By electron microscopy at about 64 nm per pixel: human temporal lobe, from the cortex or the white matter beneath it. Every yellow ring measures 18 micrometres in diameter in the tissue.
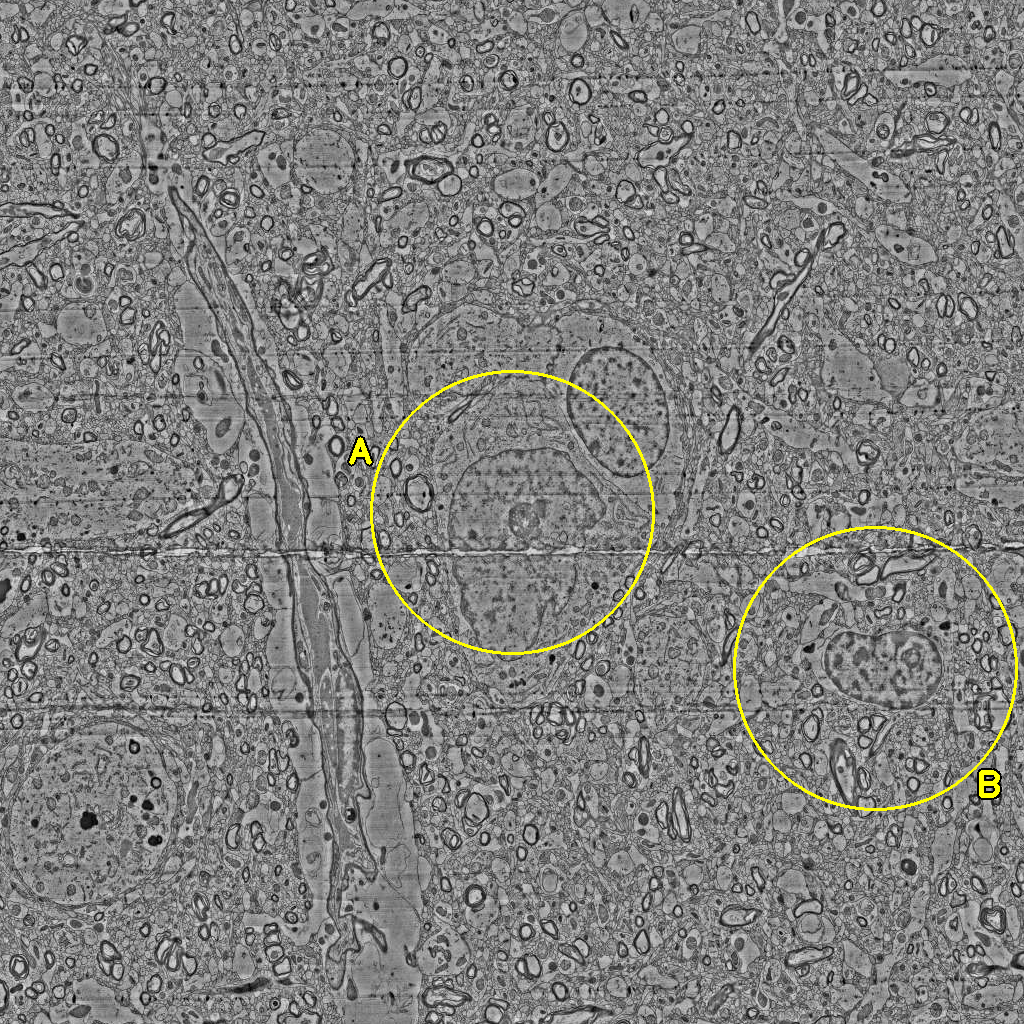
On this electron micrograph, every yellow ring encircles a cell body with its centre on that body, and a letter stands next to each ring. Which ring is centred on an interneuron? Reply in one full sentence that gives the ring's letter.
Ring A is the ring that has the cell asked for in its centre.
